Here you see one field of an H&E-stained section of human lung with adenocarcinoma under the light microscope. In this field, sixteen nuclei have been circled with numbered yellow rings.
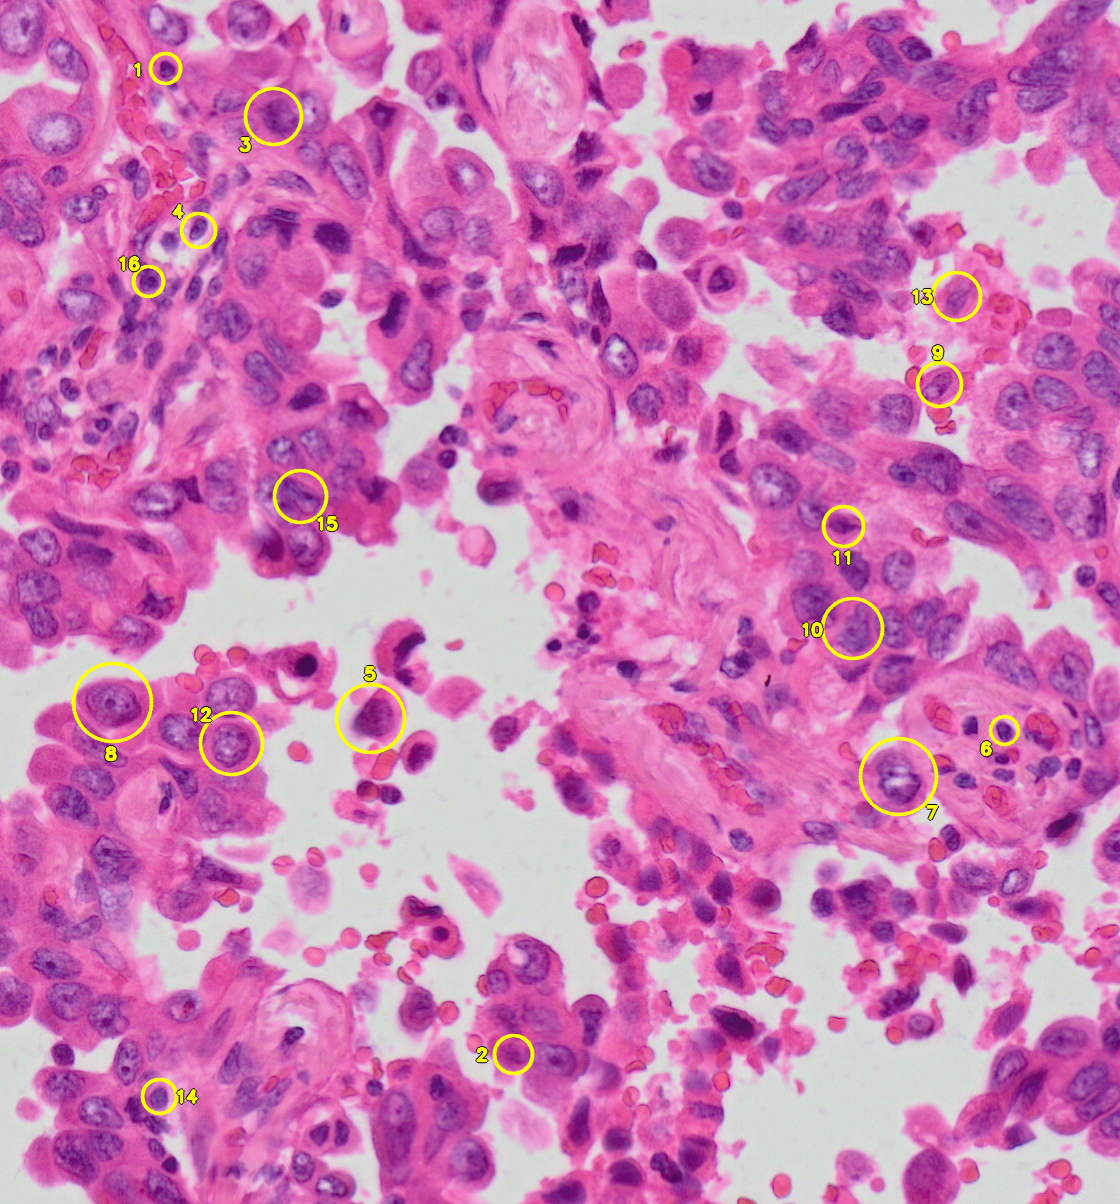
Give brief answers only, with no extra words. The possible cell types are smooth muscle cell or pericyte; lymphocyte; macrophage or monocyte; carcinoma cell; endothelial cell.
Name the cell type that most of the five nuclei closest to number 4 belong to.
lymphocyte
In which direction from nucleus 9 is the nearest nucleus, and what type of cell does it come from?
a carcinoma cell; below and to the left of nucleus 9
